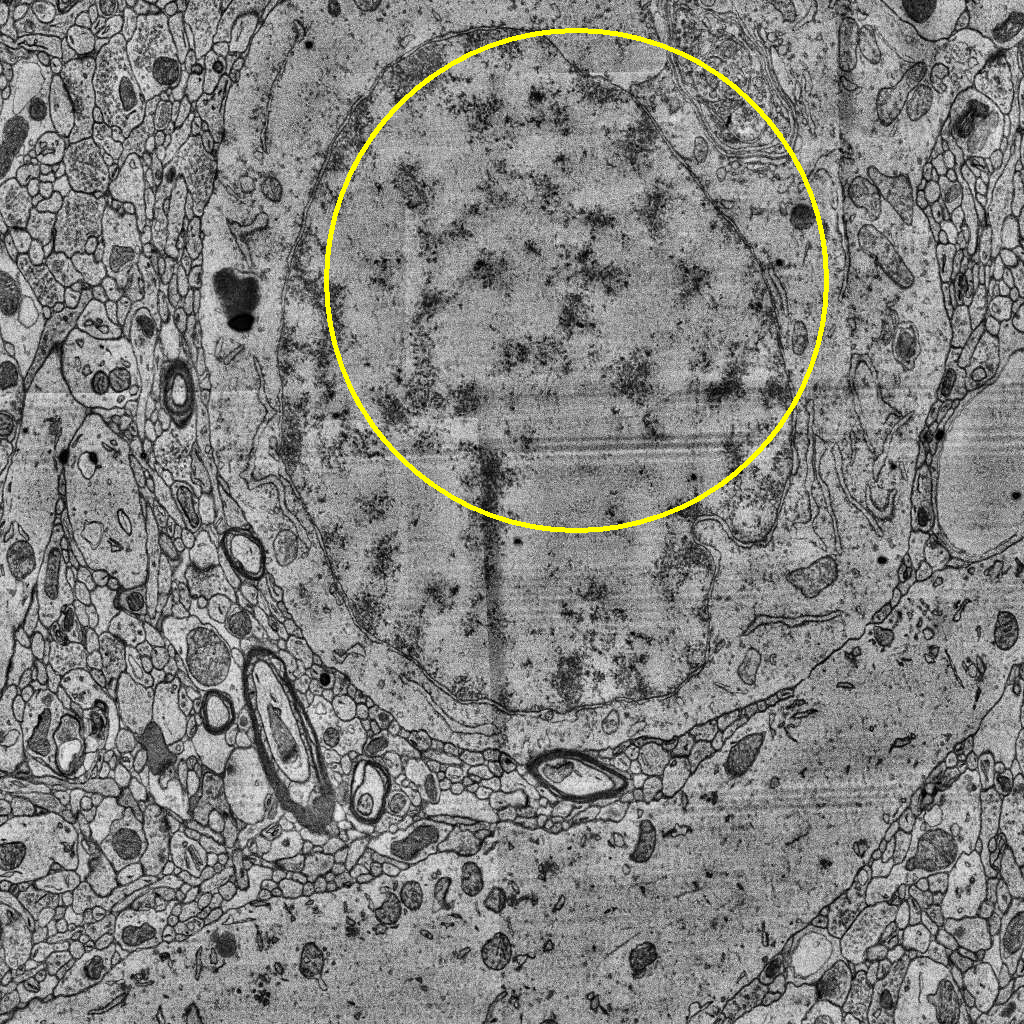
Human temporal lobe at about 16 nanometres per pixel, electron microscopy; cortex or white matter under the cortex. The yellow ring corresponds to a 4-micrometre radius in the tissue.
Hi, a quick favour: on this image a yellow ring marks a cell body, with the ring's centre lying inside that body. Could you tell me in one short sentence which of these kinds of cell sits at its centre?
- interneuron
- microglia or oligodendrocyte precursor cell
The ring's centre lies in an interneuron.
